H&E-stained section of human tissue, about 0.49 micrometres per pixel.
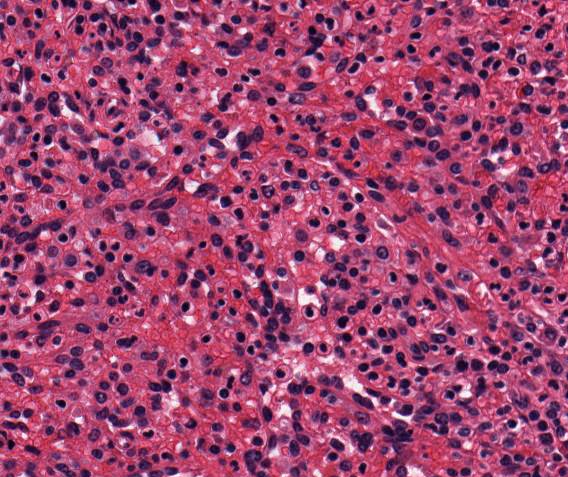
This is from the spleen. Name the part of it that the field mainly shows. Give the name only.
red pulp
